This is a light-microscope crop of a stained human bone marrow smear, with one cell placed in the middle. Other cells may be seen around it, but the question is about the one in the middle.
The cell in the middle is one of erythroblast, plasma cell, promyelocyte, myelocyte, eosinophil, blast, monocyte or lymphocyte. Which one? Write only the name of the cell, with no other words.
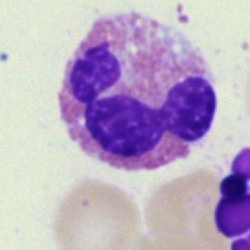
eosinophil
